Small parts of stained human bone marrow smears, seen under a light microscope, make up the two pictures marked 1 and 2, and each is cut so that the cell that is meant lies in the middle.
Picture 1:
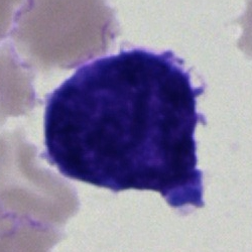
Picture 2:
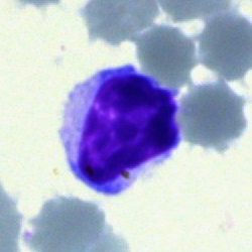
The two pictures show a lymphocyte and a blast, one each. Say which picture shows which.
1: blast
2: lymphocyte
